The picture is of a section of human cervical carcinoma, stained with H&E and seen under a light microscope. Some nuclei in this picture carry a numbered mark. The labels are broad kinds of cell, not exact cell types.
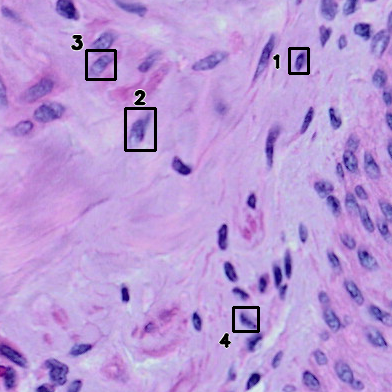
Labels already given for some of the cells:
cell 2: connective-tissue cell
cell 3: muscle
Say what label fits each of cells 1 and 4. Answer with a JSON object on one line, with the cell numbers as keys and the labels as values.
{"1": "connective-tissue cell", "4": "connective-tissue cell"}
